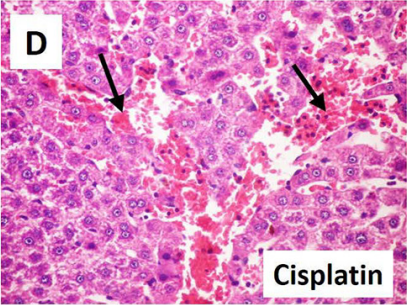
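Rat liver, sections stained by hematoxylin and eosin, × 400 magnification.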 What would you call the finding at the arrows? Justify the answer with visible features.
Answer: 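Dilatation and congestion of central vein and hepatic sinusoids. A widened vessel and adjoining spaces are packed with red blood cells. The spaces between cell cords are broadened and filled with red cells.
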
